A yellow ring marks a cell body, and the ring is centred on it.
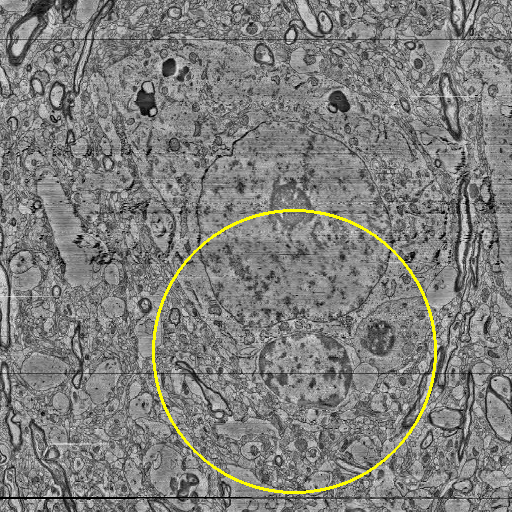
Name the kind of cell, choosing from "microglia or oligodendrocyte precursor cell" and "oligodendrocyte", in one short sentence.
The marked cell body belongs to a microglial cell or oligodendrocyte precursor cell.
